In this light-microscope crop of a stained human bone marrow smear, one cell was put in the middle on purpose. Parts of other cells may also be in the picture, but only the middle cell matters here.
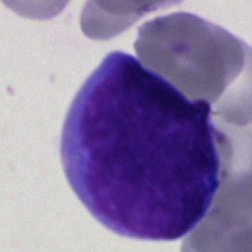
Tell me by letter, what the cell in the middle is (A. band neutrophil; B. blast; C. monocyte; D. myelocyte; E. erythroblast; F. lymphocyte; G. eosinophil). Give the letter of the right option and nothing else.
B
